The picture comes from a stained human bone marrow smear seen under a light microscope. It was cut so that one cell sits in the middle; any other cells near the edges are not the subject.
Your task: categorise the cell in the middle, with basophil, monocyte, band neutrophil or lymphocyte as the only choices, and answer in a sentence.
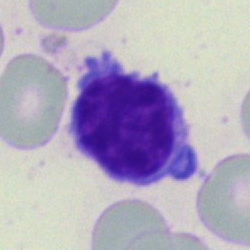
In short, the cell at the center is a lymphocyte.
